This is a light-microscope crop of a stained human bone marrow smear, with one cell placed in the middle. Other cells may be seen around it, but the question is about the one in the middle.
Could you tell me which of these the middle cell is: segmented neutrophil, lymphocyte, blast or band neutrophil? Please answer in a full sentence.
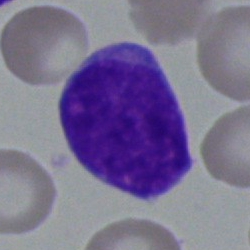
The center cell of this crop is a blast.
